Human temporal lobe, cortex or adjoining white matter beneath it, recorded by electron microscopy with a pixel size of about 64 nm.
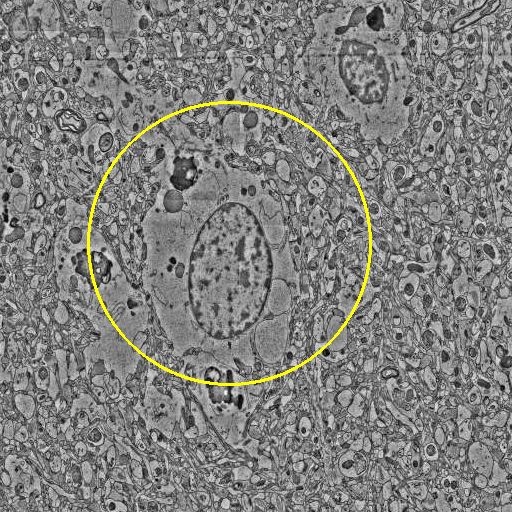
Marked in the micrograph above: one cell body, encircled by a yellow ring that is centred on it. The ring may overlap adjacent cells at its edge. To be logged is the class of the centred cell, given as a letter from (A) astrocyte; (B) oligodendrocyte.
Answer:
A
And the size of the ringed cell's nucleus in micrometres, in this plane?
The ringed cell's nucleus is roughly 9 by 5 micrometres and clearly longer than it is wide in this plane.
